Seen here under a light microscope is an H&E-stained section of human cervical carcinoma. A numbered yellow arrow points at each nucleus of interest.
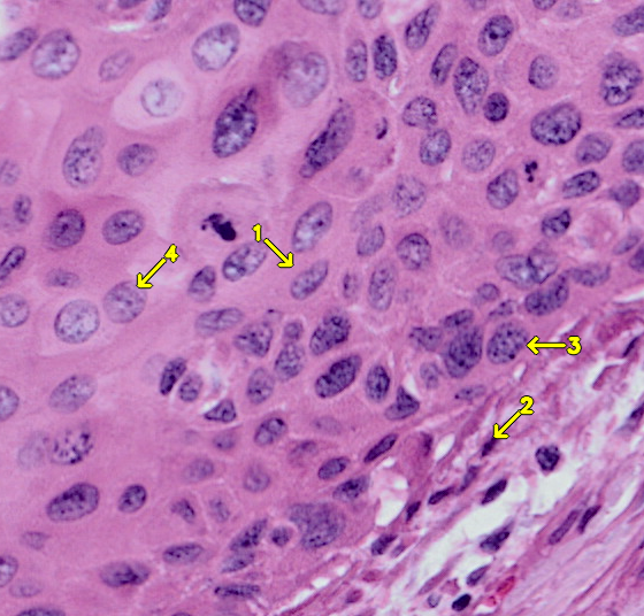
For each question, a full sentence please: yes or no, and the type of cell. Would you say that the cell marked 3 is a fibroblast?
No, cell 3 is correctly identified as a squamous carcinoma cell and not as a fibroblast.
